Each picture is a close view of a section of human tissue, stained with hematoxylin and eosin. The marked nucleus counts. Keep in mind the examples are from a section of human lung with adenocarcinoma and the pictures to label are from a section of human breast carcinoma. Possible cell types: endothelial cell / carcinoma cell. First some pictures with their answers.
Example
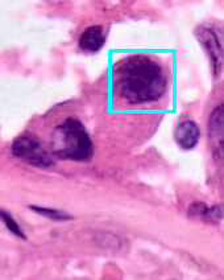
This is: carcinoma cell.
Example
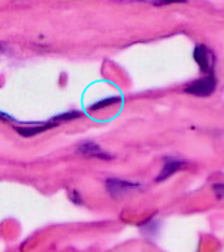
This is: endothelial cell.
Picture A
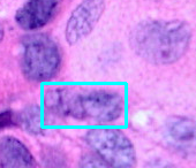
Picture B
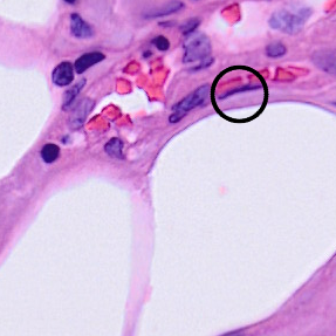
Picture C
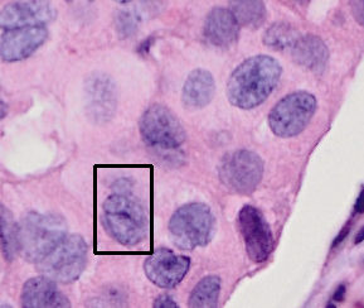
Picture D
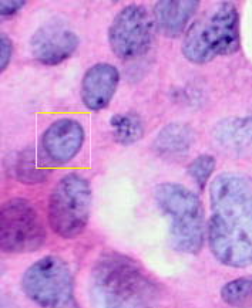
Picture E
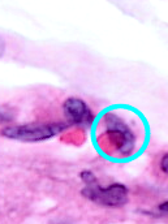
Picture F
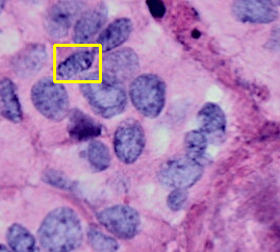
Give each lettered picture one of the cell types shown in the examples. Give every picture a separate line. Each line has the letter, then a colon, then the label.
A: carcinoma cell.
B: endothelial cell.
C: carcinoma cell.
D: carcinoma cell.
E: endothelial cell.
F: carcinoma cell.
